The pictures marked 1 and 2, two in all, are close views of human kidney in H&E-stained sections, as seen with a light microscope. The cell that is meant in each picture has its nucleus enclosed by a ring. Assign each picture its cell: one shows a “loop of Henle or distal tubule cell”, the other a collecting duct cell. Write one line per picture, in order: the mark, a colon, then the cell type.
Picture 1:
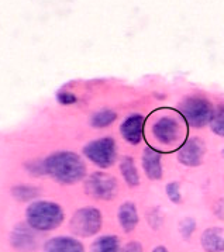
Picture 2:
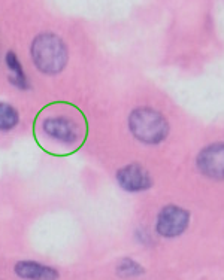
1: collecting duct cell
2: loop of Henle or distal tubule cell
